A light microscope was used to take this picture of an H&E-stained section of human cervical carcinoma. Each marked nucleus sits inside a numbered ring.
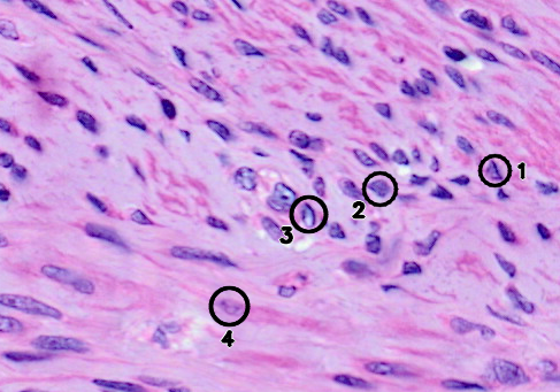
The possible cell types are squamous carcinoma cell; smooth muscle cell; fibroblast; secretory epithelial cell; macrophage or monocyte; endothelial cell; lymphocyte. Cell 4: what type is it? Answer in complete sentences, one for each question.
The cell to which the number 4 is assigned is a smooth muscle cell.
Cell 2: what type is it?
The numeral 2 marks a fibroblast in this section.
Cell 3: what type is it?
The cell pointed out by number 3 is a smooth muscle cell.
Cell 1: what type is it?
The numeral 1 marks a smooth muscle cell in this section.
